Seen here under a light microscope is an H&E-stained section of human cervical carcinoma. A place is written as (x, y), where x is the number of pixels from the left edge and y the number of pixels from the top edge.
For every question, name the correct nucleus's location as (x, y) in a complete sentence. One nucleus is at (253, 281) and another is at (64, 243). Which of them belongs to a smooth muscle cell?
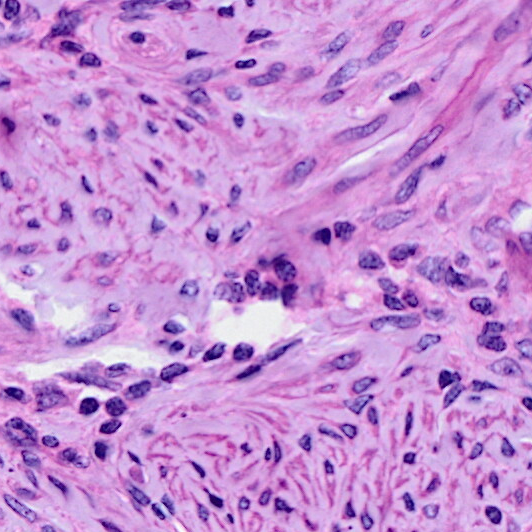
The nucleus belonging to a smooth muscle cell is the one at (64, 243).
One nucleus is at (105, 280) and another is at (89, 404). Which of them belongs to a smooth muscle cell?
The nucleus positioned at (105, 280) forms part of a smooth muscle cell.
